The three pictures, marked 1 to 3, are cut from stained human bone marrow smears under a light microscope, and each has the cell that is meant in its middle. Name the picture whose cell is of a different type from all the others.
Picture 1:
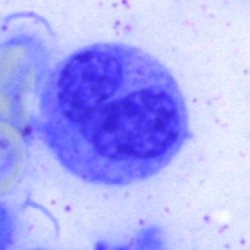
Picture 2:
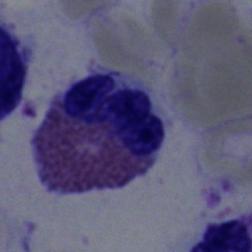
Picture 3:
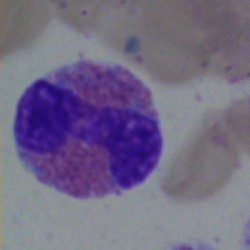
1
